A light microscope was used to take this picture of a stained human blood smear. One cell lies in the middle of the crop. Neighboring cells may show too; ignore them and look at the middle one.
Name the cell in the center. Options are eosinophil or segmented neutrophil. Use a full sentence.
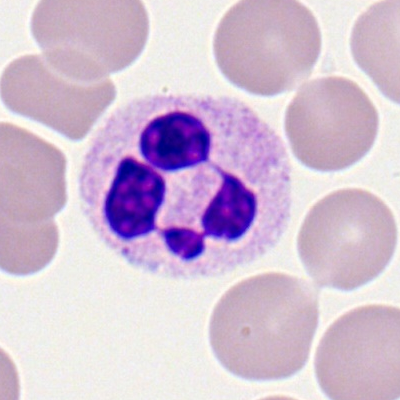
The center cell of this crop is a segmented neutrophil.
